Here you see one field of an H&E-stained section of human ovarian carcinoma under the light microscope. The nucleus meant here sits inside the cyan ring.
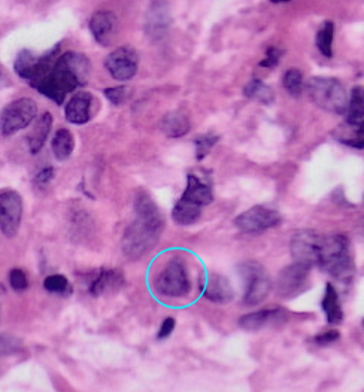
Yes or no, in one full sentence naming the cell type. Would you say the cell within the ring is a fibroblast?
No, the cell within the ring is not a fibroblast; the correct answer is a carcinoma cell.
